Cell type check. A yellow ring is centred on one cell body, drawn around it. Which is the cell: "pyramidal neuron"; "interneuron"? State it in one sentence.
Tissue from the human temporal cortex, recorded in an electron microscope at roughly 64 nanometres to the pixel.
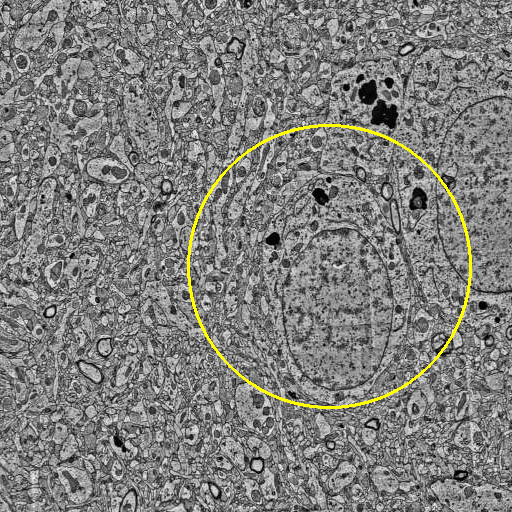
The cell body at the ring's centre belongs to a pyramidal neuron.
